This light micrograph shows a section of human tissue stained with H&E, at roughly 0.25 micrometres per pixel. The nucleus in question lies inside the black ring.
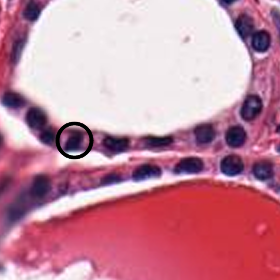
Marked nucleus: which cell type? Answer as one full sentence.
The marked nucleus is that of a thyroid follicular cell in this section.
